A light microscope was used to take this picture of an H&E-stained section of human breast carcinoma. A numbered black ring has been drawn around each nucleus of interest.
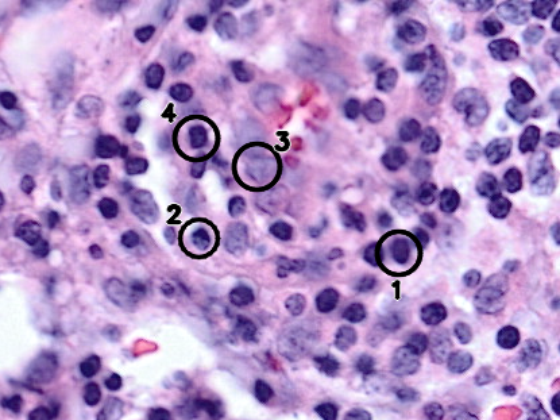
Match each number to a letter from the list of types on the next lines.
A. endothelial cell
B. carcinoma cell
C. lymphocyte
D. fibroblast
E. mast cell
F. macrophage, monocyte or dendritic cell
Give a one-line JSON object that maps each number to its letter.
{"1": "C", "2": "C", "3": "A", "4": "C"}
